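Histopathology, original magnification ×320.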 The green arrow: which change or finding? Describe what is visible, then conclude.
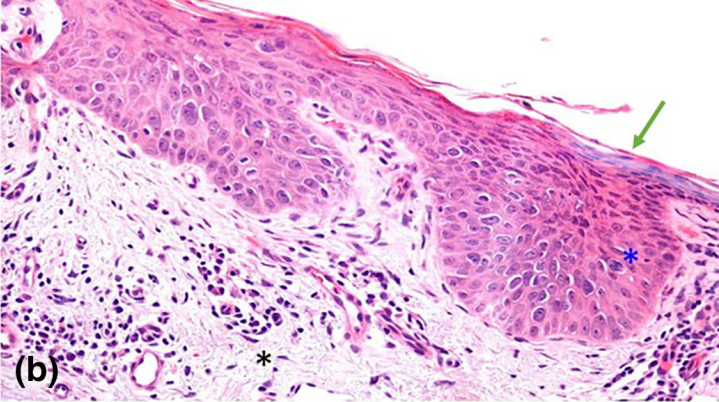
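The green arrow points to the thin outermost layer at the skin surface. That surface layer has a bluish tint unlike the pink layer beside it. That points to this answer: parakeratosis.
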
